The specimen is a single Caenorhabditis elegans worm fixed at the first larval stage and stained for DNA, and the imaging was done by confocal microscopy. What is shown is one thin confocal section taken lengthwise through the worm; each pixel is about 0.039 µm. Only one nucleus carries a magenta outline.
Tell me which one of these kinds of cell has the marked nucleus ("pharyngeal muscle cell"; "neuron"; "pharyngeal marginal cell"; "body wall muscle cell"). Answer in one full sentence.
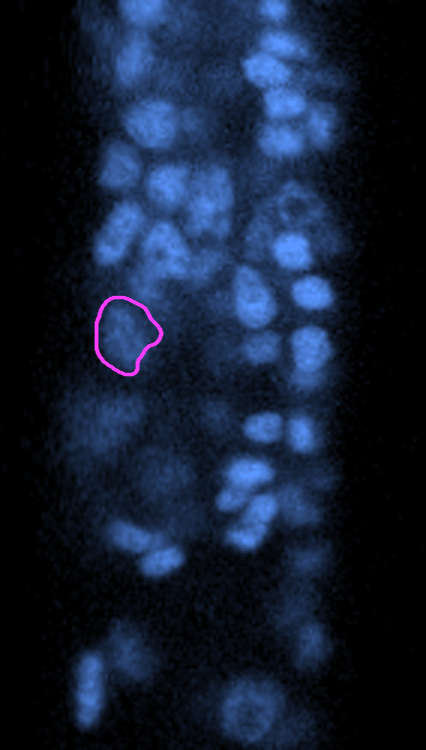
The marked nucleus belongs to a pharyngeal muscle cell.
